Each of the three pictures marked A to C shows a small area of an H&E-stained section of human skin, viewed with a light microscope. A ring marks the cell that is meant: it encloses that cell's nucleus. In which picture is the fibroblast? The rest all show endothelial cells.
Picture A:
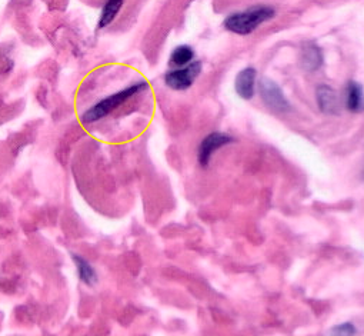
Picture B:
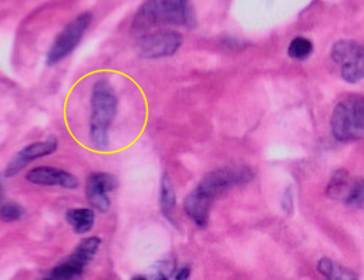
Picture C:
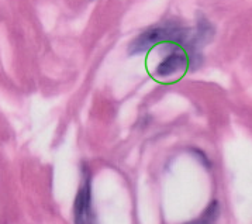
A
